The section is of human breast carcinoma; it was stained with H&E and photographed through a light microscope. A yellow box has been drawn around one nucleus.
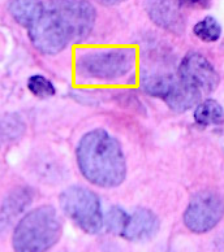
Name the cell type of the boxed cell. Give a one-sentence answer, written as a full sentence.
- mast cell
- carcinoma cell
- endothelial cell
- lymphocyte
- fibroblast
As for its identity, the boxed cell is a carcinoma cell.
